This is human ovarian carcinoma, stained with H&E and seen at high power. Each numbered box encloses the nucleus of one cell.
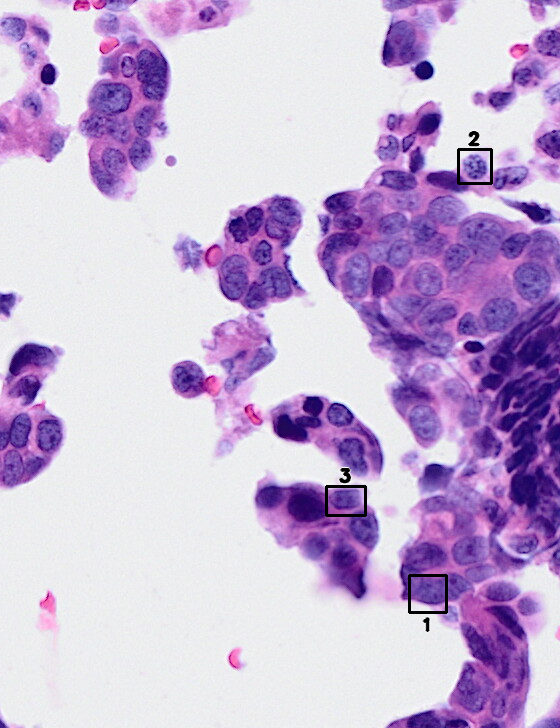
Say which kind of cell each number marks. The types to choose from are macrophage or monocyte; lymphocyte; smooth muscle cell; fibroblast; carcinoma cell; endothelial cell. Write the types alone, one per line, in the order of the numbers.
carcinoma cell
macrophage or monocyte
carcinoma cell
